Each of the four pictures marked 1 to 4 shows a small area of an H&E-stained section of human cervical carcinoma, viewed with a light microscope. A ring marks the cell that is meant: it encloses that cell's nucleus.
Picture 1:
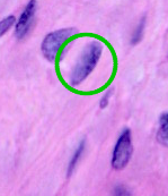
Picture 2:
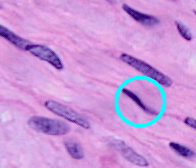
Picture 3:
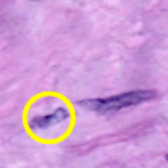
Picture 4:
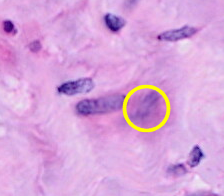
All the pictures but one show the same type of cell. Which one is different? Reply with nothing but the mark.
4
